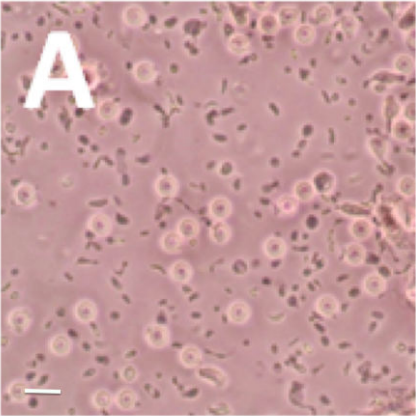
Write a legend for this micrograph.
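Many are round cells with a bright halo around their rim, as typical of unspread cells under phase contrast. Between them lie smaller dark, oval or elongated bodies.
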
